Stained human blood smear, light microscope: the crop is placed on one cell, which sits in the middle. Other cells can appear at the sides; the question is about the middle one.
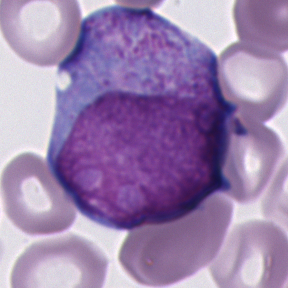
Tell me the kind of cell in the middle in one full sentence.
Within this crop, a promyelocyte occupies the central position.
